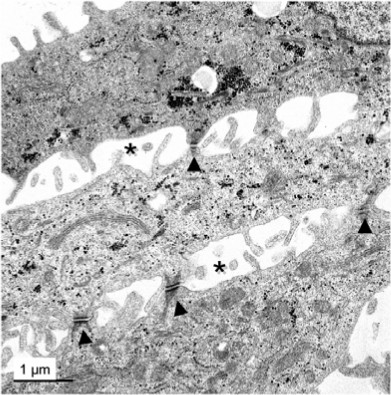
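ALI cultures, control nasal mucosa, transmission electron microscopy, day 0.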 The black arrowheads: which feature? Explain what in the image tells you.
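Arrowheads point to short dense plaques where two cell membranes lie close and parallel. The plaques are dark on both sides of the narrow gap between the cells.
Conclusion: desmosomes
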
